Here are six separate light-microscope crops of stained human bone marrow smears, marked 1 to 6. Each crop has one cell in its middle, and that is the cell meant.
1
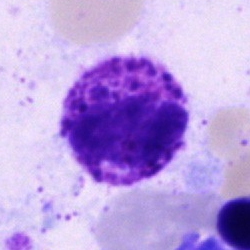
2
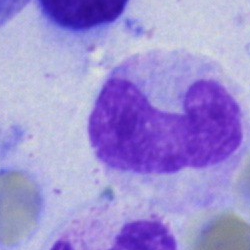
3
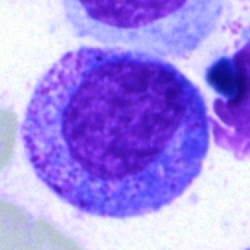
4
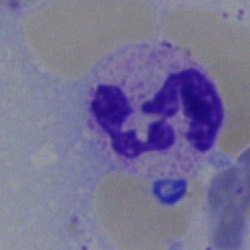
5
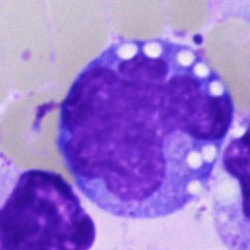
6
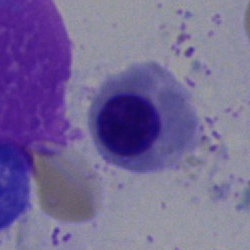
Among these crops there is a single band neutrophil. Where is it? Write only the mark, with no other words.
2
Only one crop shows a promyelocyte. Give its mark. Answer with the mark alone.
3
